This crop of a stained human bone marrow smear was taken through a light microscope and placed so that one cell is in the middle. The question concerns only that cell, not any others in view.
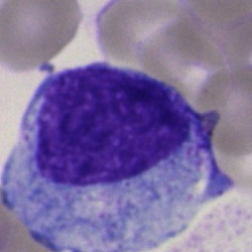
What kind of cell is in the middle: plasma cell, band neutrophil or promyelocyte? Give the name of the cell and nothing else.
promyelocyte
